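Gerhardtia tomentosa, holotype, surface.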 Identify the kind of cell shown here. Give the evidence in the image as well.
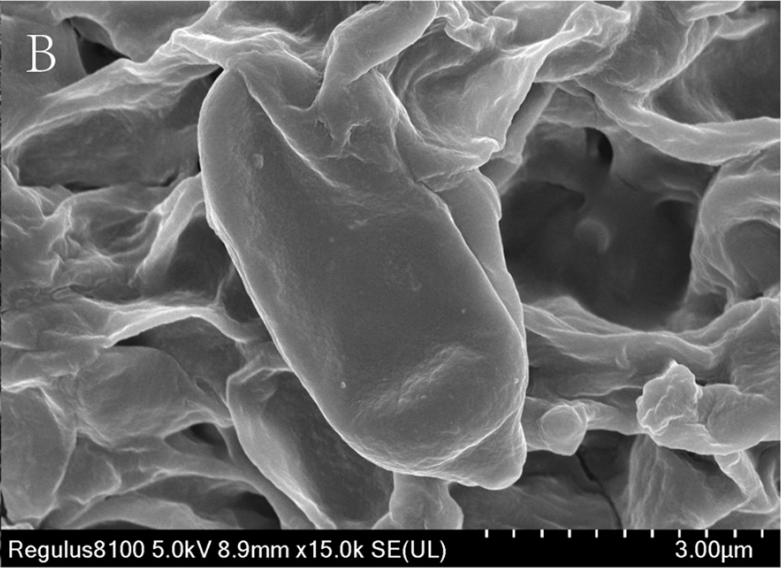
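A single elongate, ellipsoid body with rounded ends lies in the centre. Its surface is smooth, without warts or ridges. It lies on wrinkled, collapsed thread-like material. So: basidiospores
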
